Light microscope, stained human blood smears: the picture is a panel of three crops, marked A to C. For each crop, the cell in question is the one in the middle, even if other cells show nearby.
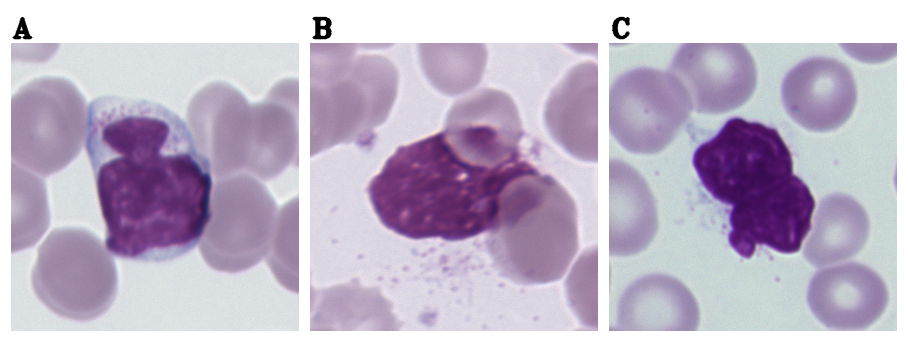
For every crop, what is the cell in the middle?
A: large granular lymphocyte
B: smudge cell
C: smudge cell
